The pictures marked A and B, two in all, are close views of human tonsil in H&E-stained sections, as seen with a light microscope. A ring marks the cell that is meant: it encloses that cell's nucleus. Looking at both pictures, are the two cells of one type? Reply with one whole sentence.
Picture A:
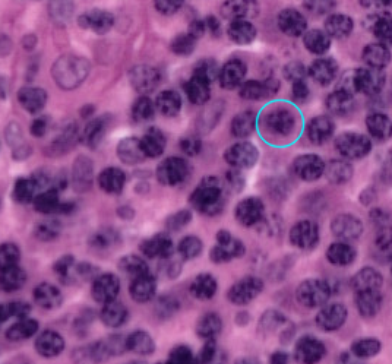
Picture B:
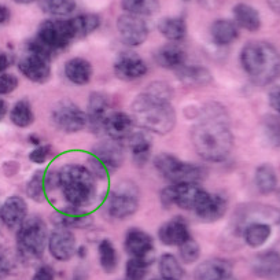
No. Picture A shows a plasma cell, but picture B shows a proliferating B cell.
